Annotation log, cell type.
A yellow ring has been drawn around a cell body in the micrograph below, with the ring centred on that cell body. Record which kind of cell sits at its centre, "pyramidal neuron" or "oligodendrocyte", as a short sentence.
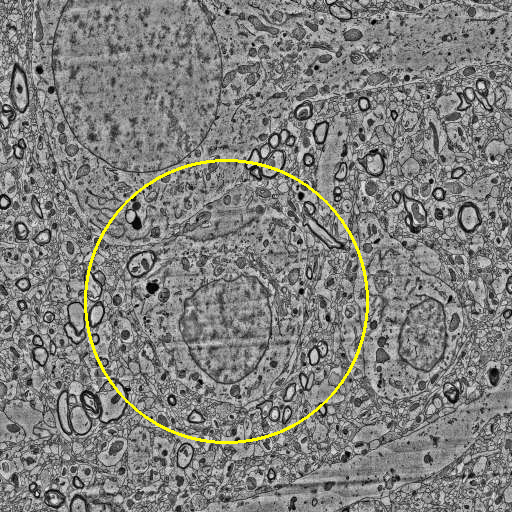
The cell at the centre of this ring is a pyramidal neuron.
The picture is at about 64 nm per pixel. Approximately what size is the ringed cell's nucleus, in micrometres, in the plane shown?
Roughly 7 micrometres by 6 micrometres, in this plane.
